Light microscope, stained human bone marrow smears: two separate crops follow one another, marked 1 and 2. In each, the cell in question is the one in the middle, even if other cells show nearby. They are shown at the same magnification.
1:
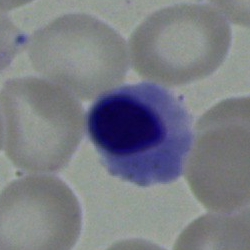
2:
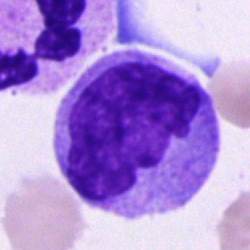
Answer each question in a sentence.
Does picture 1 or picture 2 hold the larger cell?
Larger is the cell in picture 2, at roughly 2.5 times the area of the other.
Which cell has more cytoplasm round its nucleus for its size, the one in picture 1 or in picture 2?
The nucleus fills less of the cell in picture 1 than in picture 2.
